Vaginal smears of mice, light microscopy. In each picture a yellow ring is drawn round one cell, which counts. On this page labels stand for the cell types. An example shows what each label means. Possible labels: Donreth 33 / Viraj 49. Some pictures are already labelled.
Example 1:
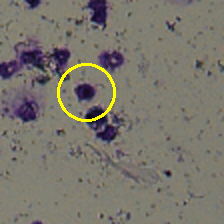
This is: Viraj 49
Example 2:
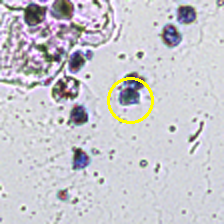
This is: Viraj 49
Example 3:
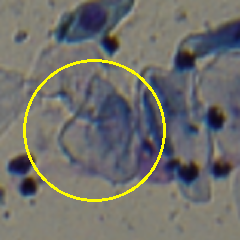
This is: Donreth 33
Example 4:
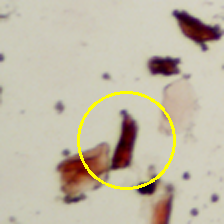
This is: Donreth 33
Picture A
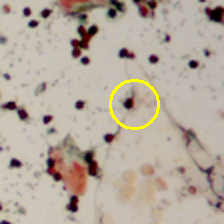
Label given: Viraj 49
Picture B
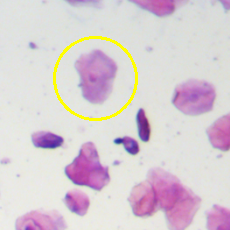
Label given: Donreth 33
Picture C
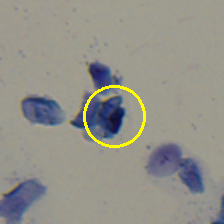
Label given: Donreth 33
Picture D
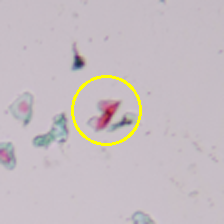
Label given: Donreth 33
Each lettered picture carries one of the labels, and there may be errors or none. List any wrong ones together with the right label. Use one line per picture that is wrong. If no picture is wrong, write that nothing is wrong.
Every label is right.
